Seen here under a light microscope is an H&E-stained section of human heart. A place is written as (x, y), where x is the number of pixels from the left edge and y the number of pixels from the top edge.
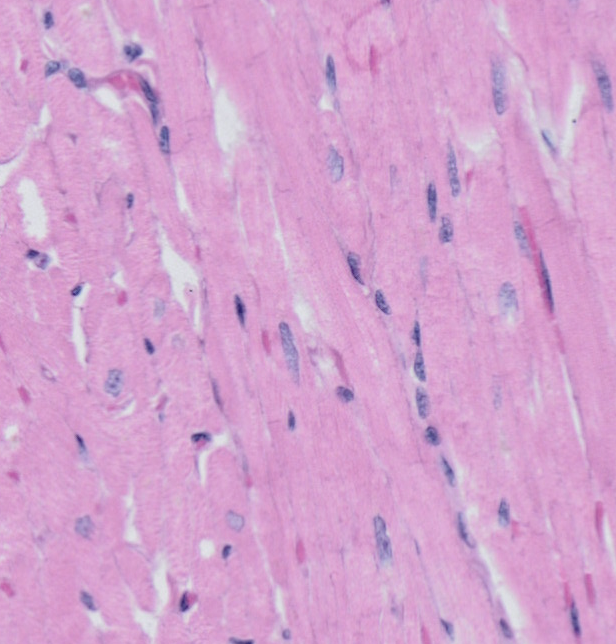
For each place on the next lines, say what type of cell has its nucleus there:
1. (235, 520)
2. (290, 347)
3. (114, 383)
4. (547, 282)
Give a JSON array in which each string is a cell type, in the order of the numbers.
["cardiomyocyte", "cardiomyocyte", "cardiomyocyte", "endothelial cell"]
